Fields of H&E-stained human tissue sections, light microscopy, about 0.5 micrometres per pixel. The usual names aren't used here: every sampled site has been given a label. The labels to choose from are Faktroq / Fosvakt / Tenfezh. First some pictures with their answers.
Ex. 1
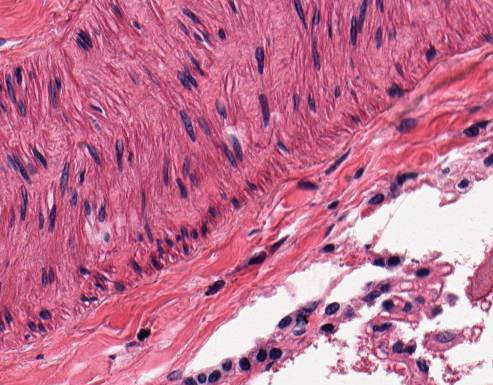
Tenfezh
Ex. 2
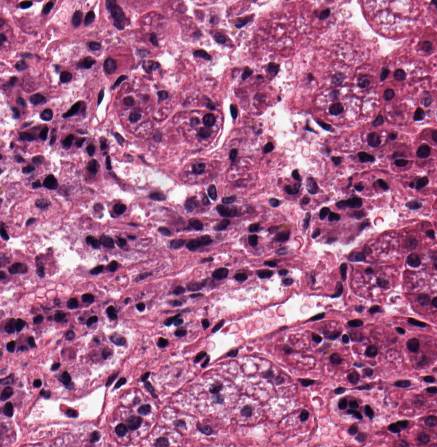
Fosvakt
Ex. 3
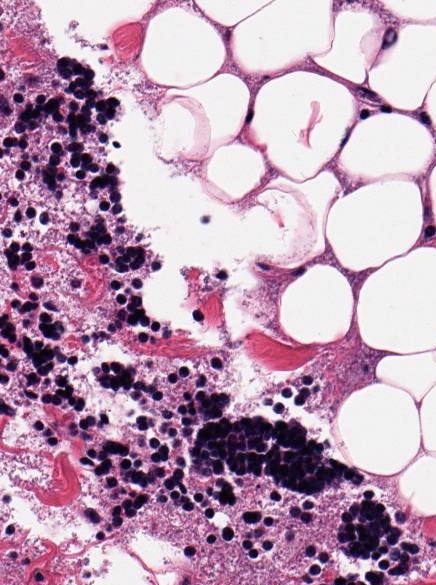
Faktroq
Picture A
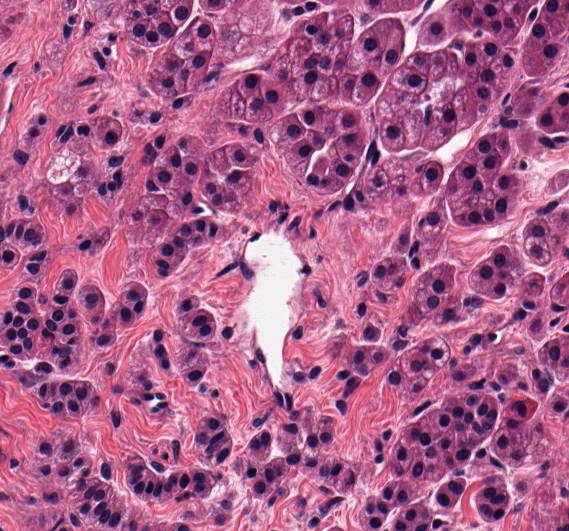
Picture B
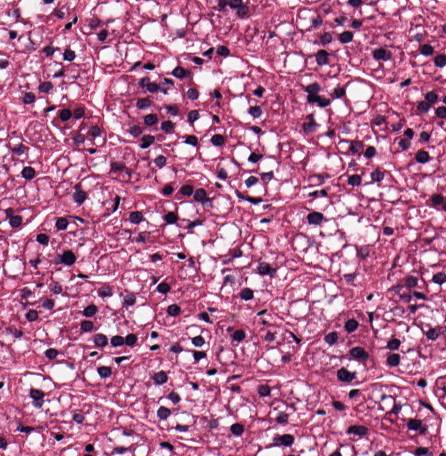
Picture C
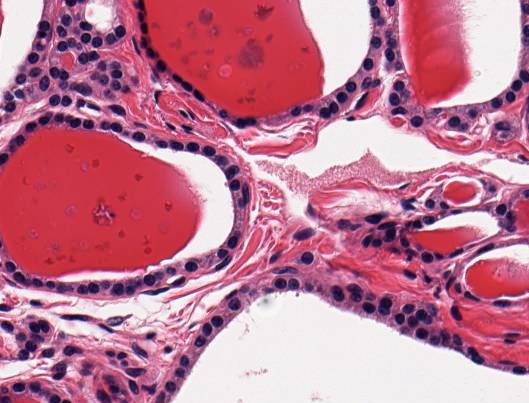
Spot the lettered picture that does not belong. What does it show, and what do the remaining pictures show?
Odd one out: C (Faktroq). The rest: Fosvakt.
